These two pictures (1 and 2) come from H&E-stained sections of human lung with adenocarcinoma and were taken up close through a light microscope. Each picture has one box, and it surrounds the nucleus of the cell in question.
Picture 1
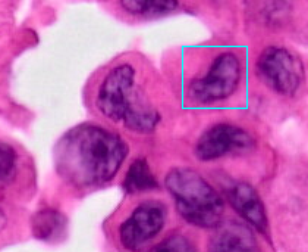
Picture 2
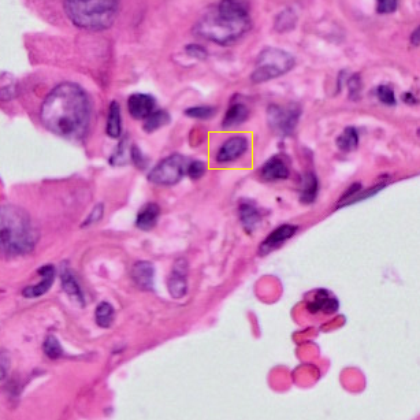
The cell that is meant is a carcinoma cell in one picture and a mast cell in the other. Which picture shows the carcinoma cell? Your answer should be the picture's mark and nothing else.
1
